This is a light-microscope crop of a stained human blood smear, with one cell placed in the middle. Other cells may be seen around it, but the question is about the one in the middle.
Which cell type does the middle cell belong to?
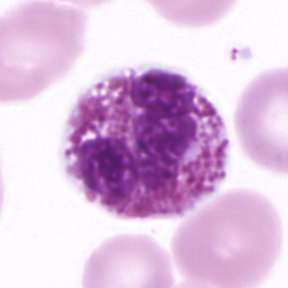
eosinophil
